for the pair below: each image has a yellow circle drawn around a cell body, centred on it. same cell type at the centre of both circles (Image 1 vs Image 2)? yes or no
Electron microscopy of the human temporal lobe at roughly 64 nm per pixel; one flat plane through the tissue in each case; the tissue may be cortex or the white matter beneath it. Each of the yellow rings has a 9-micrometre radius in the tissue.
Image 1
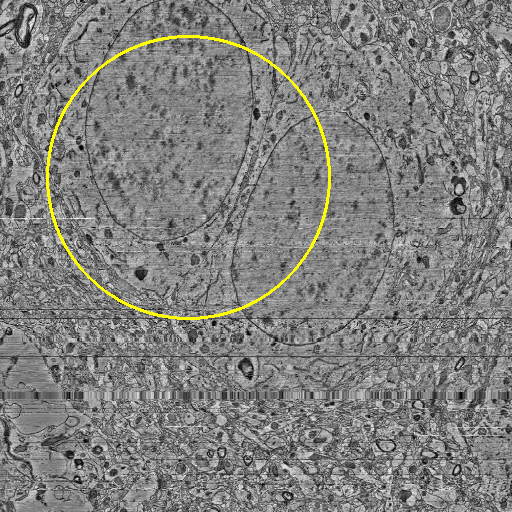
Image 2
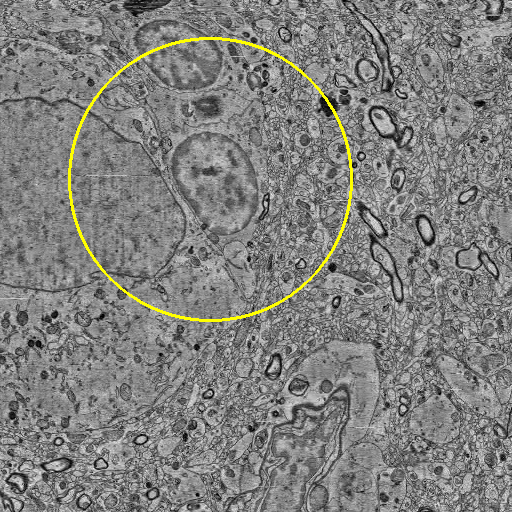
no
